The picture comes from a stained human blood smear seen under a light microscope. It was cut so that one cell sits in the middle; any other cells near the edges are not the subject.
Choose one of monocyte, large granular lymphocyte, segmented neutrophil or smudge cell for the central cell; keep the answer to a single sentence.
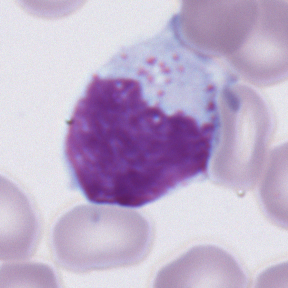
Within this crop, a large granular lymphocyte occupies the central position.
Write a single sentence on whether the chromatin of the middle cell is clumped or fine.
Here the nuclear chromatin is coarsely clumped.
